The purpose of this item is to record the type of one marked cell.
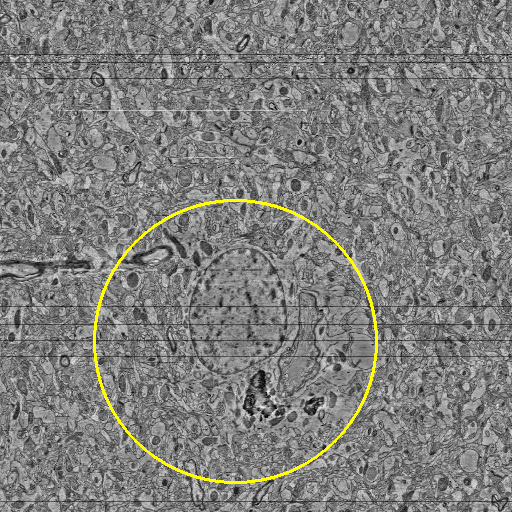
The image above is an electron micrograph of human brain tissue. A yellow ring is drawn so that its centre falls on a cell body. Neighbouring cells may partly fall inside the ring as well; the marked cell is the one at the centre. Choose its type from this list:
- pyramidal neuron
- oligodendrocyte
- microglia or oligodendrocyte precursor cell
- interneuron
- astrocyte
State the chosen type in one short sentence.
What the ring marks here is an astrocyte.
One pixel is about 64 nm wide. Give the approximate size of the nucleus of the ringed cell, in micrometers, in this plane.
The ringed cell's nucleus is about 9 micrometres long and 6 micrometres wide in this plane.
